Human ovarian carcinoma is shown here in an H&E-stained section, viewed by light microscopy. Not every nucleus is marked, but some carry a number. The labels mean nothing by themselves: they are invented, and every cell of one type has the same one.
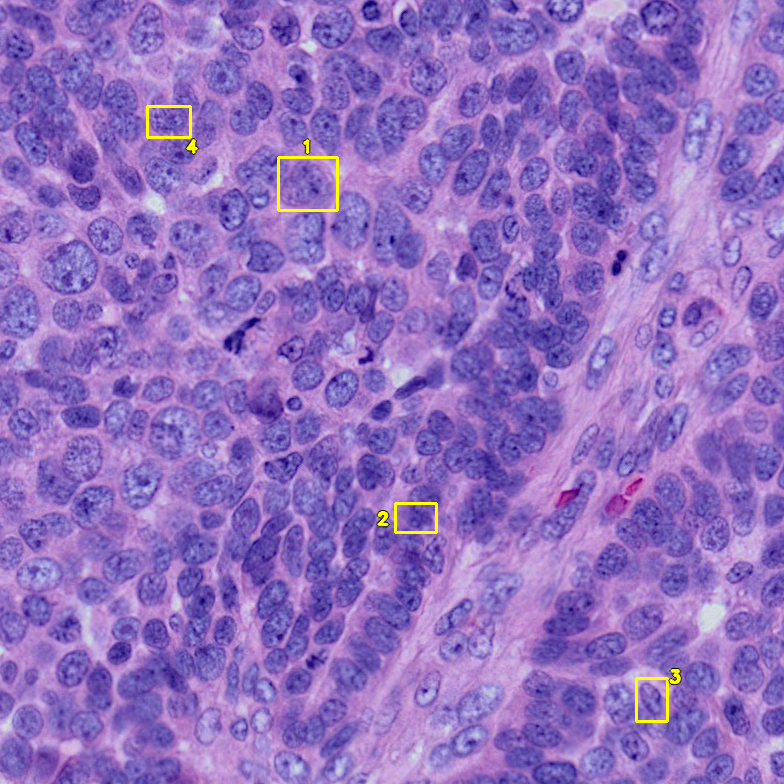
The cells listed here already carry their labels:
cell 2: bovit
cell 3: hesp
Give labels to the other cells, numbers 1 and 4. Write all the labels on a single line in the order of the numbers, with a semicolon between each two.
bovit; bovit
